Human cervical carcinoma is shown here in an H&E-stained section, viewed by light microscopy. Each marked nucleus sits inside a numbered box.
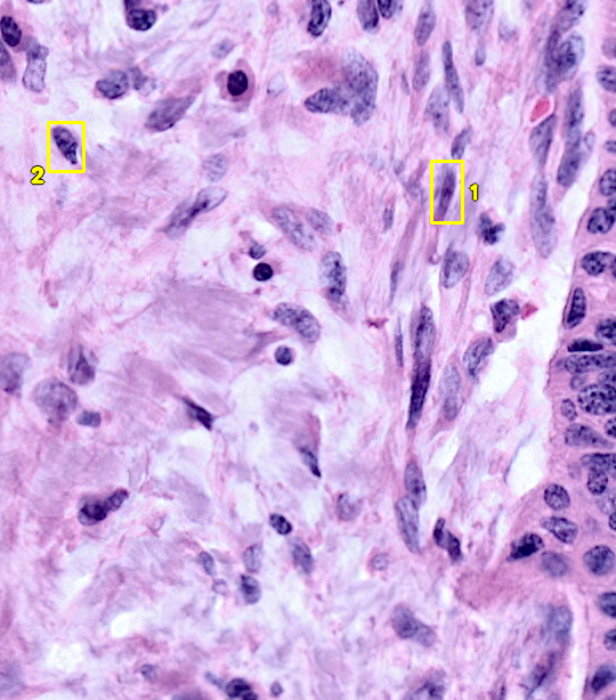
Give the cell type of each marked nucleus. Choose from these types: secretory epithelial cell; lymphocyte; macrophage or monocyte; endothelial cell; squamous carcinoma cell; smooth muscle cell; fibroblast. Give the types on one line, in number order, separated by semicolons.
fibroblast; lymphocyte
